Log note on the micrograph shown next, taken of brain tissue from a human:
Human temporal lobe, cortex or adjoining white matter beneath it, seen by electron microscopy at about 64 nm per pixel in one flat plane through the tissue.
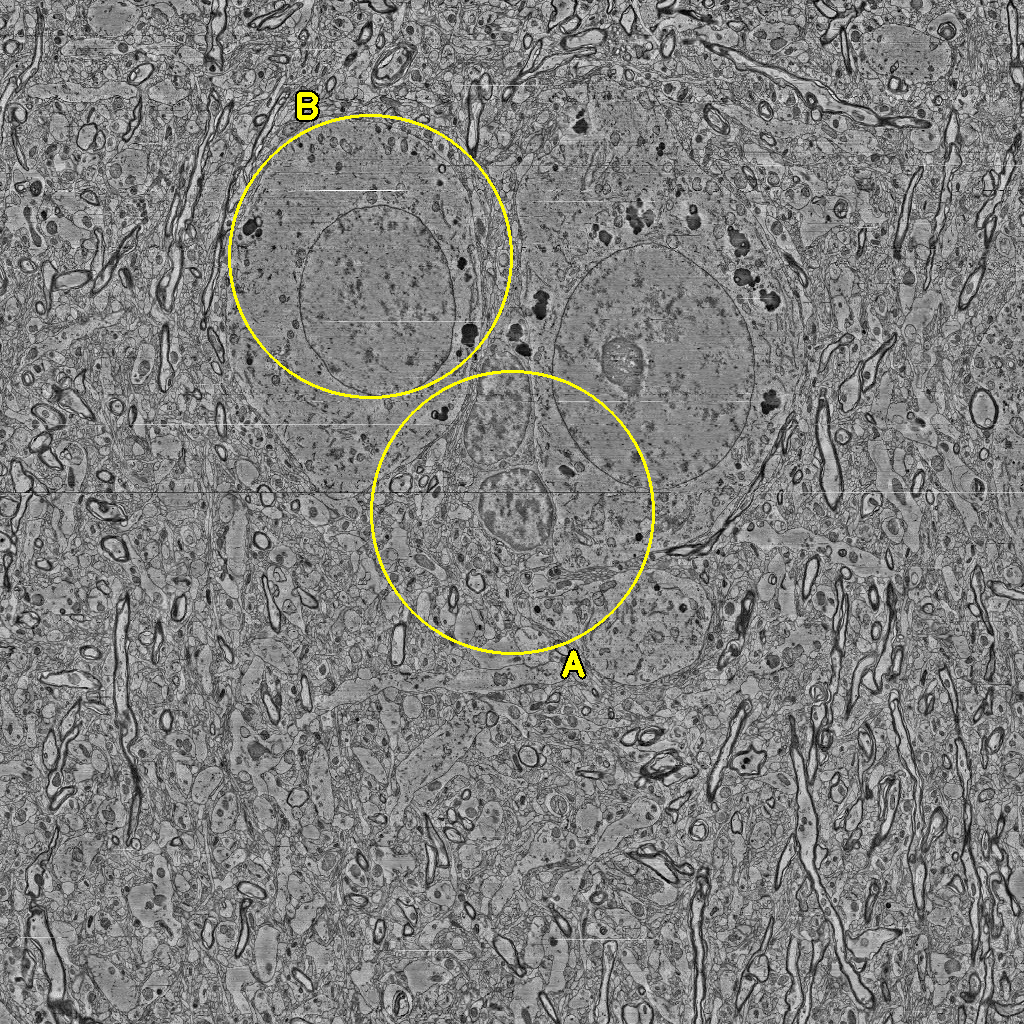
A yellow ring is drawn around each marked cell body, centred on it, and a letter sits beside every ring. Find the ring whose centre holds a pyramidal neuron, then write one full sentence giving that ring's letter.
In the picture, the cell asked for sits at the centre of ring B.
